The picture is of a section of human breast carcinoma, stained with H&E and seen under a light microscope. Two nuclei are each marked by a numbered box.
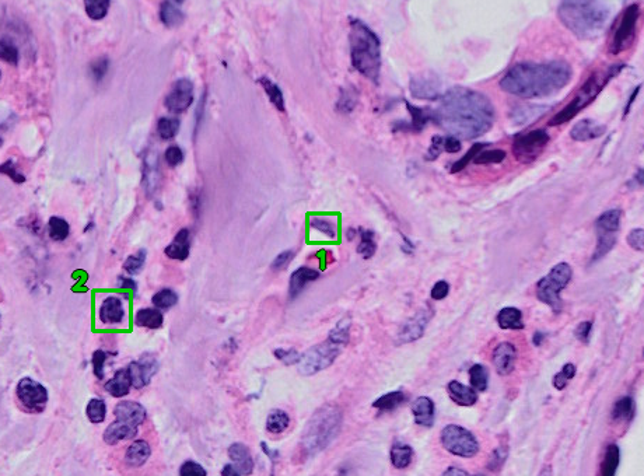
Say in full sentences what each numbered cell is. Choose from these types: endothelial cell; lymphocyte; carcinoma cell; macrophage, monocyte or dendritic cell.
Cell 1 is an endothelial cell and cell 2 is a lymphocyte.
